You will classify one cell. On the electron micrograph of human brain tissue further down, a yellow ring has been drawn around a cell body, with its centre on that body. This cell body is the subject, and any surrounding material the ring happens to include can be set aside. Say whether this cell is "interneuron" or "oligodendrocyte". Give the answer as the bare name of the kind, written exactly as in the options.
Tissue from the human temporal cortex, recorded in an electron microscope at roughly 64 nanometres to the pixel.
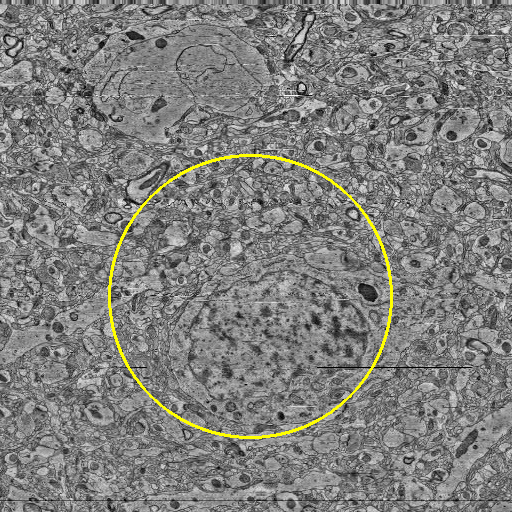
interneuron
